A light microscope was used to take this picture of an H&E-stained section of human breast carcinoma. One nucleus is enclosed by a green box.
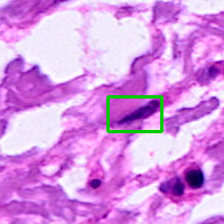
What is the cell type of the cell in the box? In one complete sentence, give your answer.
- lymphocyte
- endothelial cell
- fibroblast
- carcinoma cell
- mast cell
Assigned to a cell type, the cell in the box is a fibroblast.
